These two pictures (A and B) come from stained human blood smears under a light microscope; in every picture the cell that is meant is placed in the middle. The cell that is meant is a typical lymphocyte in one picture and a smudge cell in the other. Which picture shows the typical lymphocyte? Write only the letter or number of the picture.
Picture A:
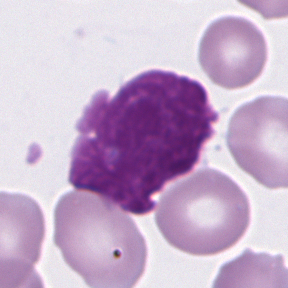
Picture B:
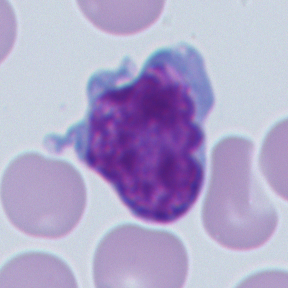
B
